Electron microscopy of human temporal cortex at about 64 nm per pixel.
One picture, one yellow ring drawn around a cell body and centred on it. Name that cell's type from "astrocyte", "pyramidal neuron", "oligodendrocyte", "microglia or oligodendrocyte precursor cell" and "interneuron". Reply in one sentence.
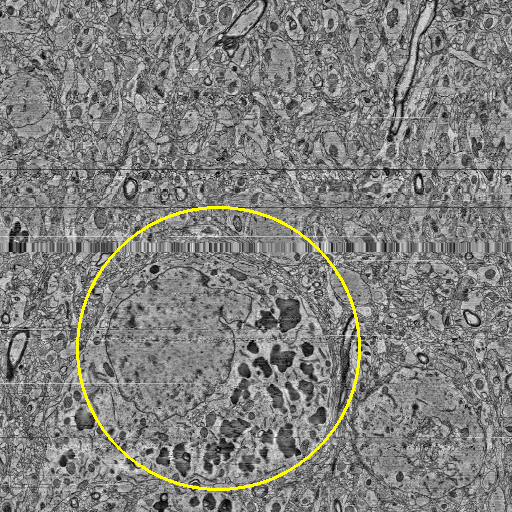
Centred in the ring is an interneuron.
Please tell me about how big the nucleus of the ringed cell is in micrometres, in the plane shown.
Approximately 10 micrometres long and 8 micrometres wide, in this plane.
